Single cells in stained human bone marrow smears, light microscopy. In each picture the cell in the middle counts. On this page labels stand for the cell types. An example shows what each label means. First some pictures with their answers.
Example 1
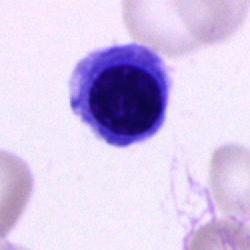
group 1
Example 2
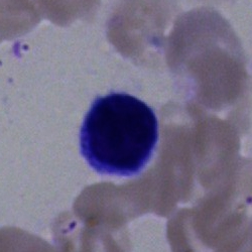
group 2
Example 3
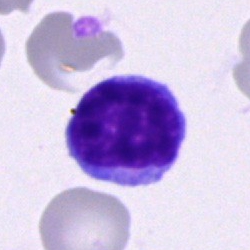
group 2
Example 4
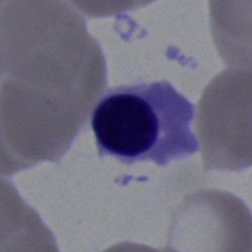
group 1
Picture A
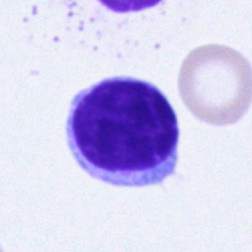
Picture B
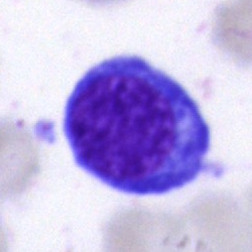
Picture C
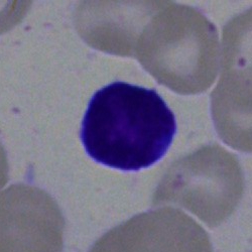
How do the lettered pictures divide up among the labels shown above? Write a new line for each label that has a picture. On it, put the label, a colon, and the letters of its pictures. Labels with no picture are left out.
group 1: B
group 2: A, C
